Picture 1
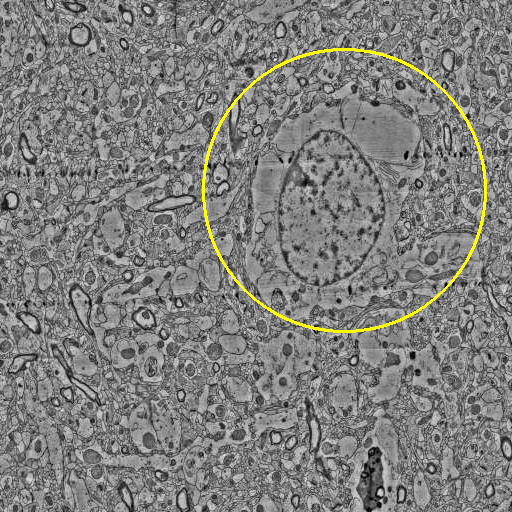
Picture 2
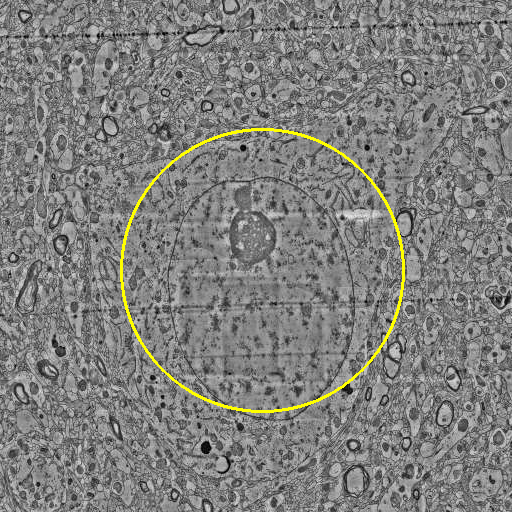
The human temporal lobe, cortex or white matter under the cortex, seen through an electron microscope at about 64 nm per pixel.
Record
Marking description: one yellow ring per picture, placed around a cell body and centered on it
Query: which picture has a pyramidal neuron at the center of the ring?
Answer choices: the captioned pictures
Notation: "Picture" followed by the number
Picture 2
